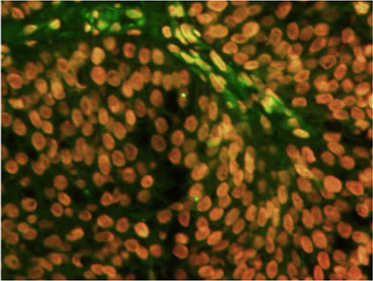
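A band of elongated cells crossing the field shows brighter yellow-green nuclei. The space between nuclei carries a faint diffuse green glow.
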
